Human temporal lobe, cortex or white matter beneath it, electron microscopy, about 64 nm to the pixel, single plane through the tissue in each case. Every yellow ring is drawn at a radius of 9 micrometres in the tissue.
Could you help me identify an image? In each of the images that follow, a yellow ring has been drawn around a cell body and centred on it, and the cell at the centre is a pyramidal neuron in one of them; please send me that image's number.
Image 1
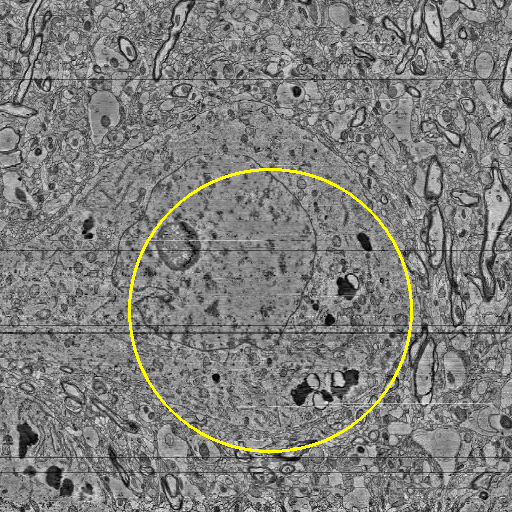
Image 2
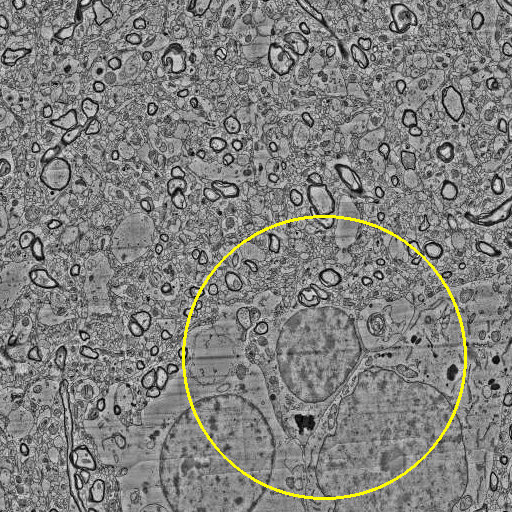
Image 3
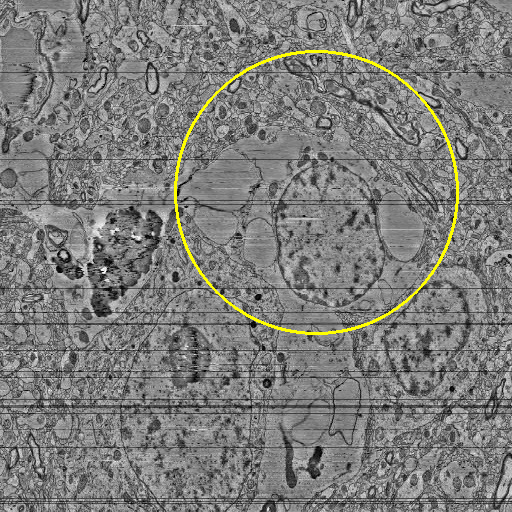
1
